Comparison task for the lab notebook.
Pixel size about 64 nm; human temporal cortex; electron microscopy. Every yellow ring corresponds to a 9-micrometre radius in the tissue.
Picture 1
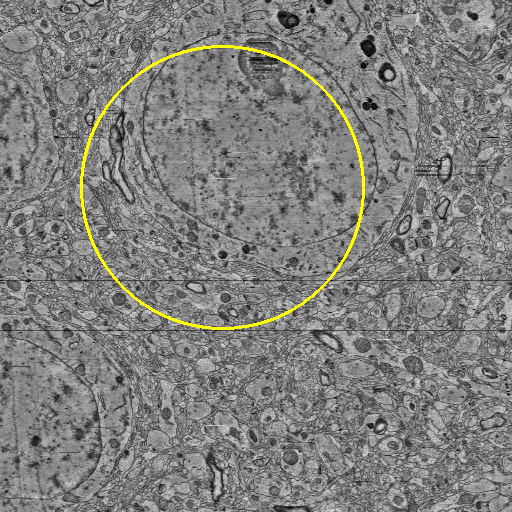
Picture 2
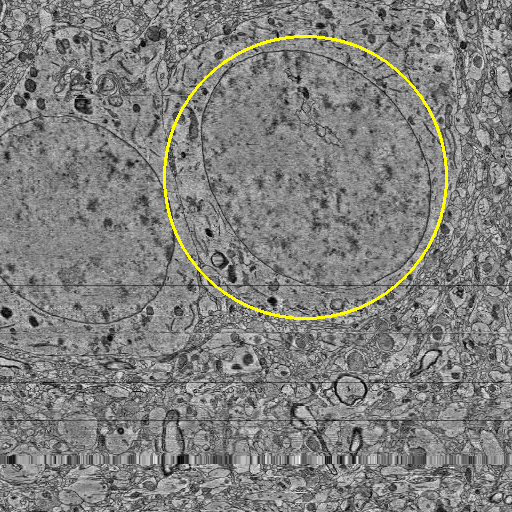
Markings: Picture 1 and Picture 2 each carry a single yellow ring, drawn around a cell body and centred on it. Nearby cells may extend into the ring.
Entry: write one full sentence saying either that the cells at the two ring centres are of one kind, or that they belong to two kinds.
The cells sitting at the ring centres in Picture 1 and Picture 2 are of one kind.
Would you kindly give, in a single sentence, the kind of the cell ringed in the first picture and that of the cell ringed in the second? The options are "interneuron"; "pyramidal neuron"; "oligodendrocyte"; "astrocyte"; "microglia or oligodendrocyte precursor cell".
Each of the two pictures has a pyramidal neuron at the ring centre.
